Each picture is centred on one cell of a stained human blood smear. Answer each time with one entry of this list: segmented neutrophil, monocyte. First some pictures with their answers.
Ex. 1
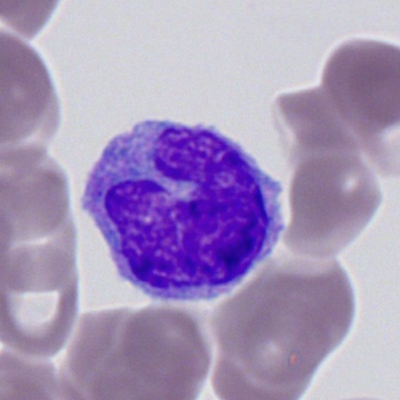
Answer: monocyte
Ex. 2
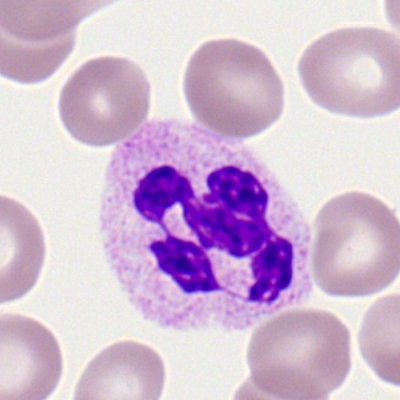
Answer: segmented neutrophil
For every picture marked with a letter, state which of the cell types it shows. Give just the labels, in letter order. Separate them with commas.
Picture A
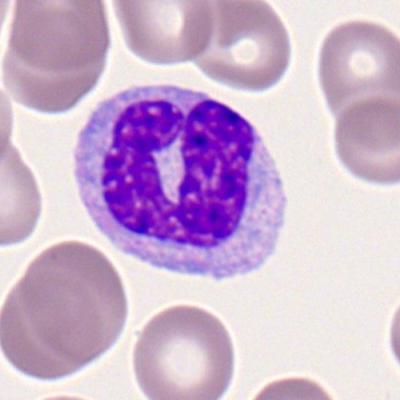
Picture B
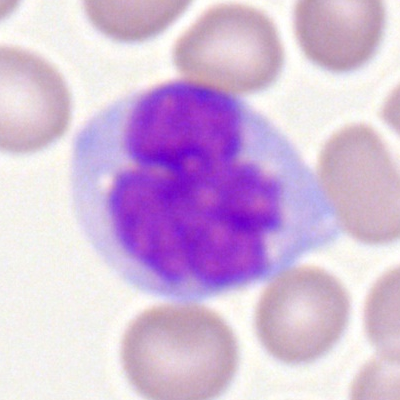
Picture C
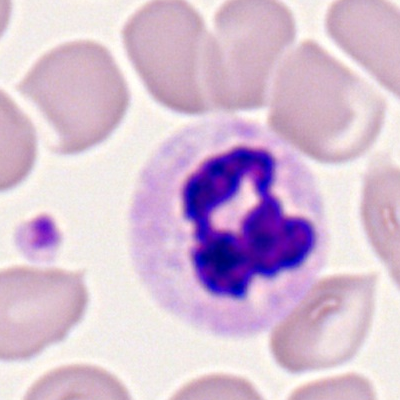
monocyte, monocyte, segmented neutrophil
